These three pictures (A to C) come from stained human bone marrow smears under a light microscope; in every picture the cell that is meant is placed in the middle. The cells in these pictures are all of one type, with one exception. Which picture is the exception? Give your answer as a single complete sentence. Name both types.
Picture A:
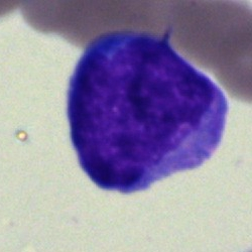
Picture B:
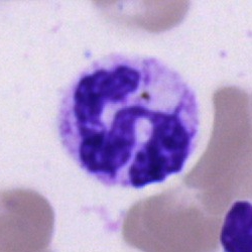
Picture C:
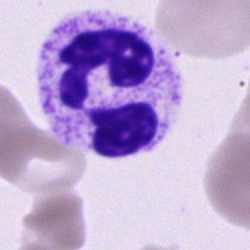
Picture A differs, because its cell is a blast and the rest are segmented neutrophils.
